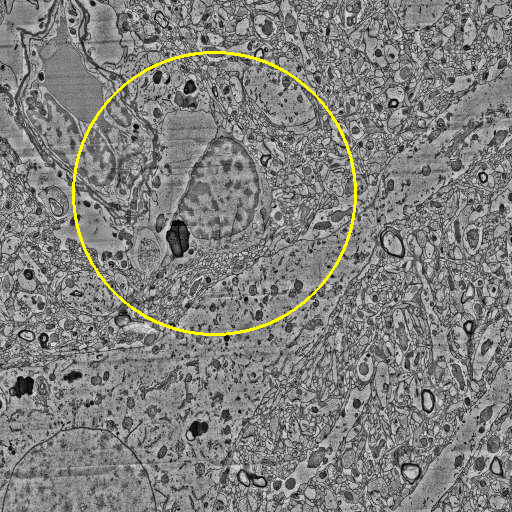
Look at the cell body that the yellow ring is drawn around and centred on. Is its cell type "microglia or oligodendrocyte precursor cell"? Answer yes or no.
no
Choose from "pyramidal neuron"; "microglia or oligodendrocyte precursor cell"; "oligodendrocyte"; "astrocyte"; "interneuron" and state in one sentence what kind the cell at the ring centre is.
So the cell at the centre is an oligodendrocyte.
